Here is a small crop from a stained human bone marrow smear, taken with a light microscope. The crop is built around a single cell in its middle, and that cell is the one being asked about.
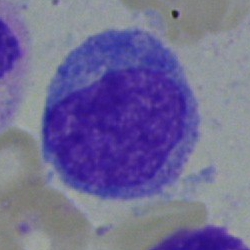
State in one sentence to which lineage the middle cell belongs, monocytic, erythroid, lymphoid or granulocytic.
The cell in the middle of the crop is considered part of the monocytic lineage.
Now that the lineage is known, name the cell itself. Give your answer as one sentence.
The cell centred in this crop is categorized as a monocyte.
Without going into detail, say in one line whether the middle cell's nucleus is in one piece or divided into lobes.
The nucleus is one compact mass, round, oval or kidney-shaped in outline.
